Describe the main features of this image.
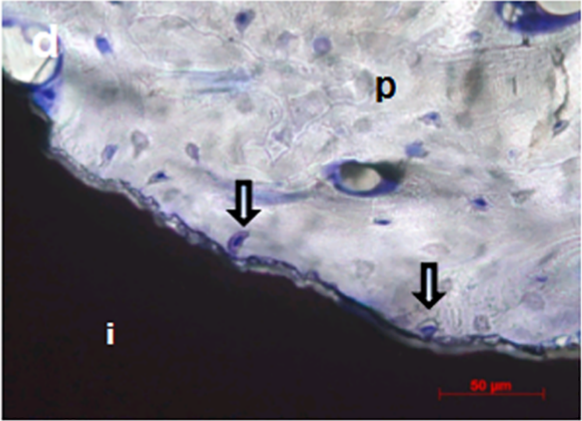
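This is bone lying directly against a black implant surface, with osteocytes embedded in the pale matrix. The matrix is light grey-blue and fairly homogeneous, with small oval dark blue cell bodies scattered through it. Some of these cells lie right at the margin of the bone, touching the implant edge. A thin blue line outlines the bone surface where it meets the implant.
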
